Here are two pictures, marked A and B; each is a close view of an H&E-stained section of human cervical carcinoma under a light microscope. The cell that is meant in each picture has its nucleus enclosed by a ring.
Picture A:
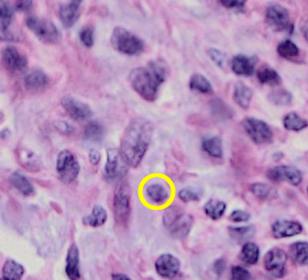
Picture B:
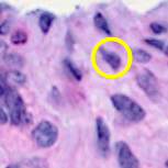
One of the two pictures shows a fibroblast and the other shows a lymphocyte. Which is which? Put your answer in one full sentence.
Picture A is of a lymphocyte, and picture B is of a fibroblast.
